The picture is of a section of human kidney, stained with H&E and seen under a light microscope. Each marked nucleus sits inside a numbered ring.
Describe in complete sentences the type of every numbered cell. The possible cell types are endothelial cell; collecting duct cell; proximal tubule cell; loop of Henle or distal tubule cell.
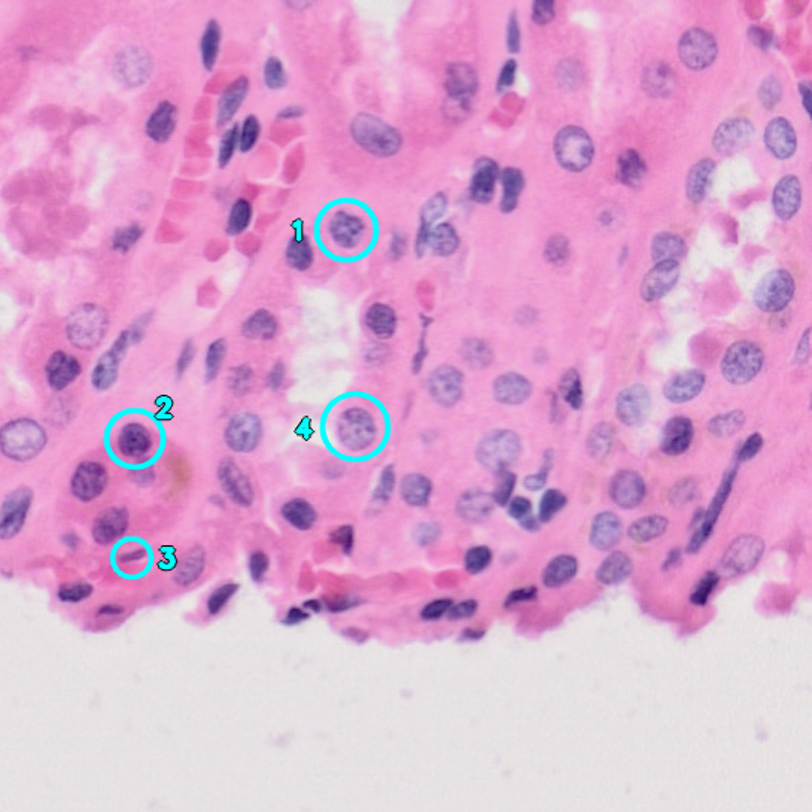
Cell 1 is a loop of Henle or distal tubule cell, cell 2 is a proximal tubule cell, cell 3 is an endothelial cell and cell 4 is a loop of Henle or distal tubule cell.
